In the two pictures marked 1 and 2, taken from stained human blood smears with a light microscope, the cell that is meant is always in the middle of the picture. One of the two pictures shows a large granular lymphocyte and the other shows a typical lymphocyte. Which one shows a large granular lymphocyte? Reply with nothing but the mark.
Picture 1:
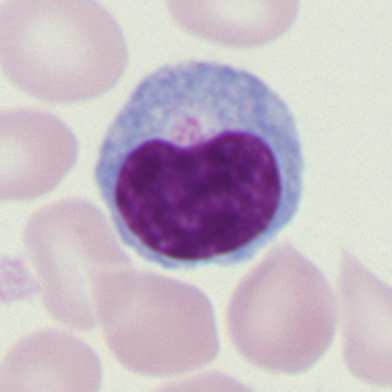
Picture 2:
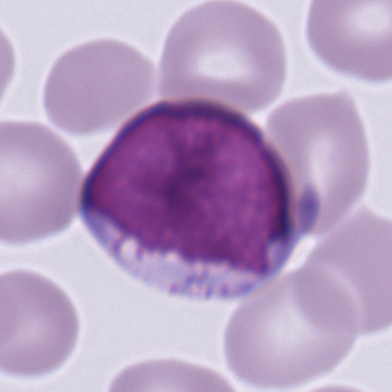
2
